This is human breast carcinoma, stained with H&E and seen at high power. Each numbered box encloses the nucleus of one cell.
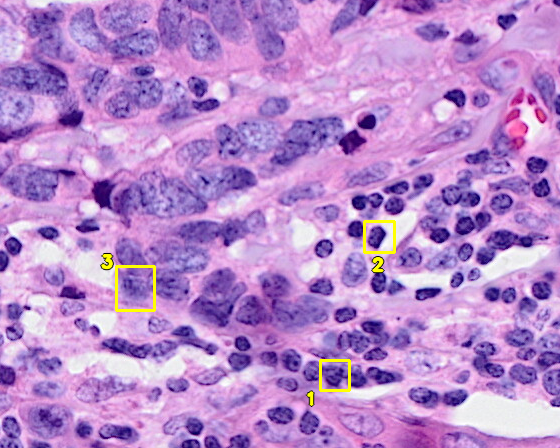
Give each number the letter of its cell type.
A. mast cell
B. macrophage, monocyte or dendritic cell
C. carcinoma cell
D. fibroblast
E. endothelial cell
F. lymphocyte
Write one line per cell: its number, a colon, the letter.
1: F
2: F
3: C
